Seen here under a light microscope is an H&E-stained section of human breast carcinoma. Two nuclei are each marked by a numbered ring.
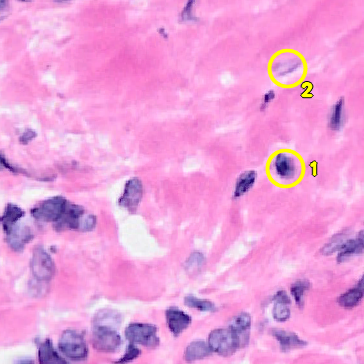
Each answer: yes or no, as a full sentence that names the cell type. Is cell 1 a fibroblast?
No, rather than a fibroblast, cell number 1 is a lymphocyte.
